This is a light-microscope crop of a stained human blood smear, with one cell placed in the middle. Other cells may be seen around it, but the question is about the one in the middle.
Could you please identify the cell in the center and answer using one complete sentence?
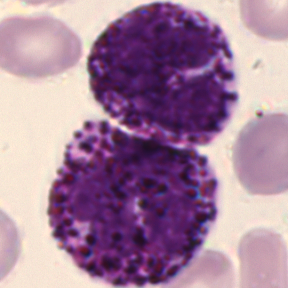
The cell shown in the center of this light-microscope crop is a basophil.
